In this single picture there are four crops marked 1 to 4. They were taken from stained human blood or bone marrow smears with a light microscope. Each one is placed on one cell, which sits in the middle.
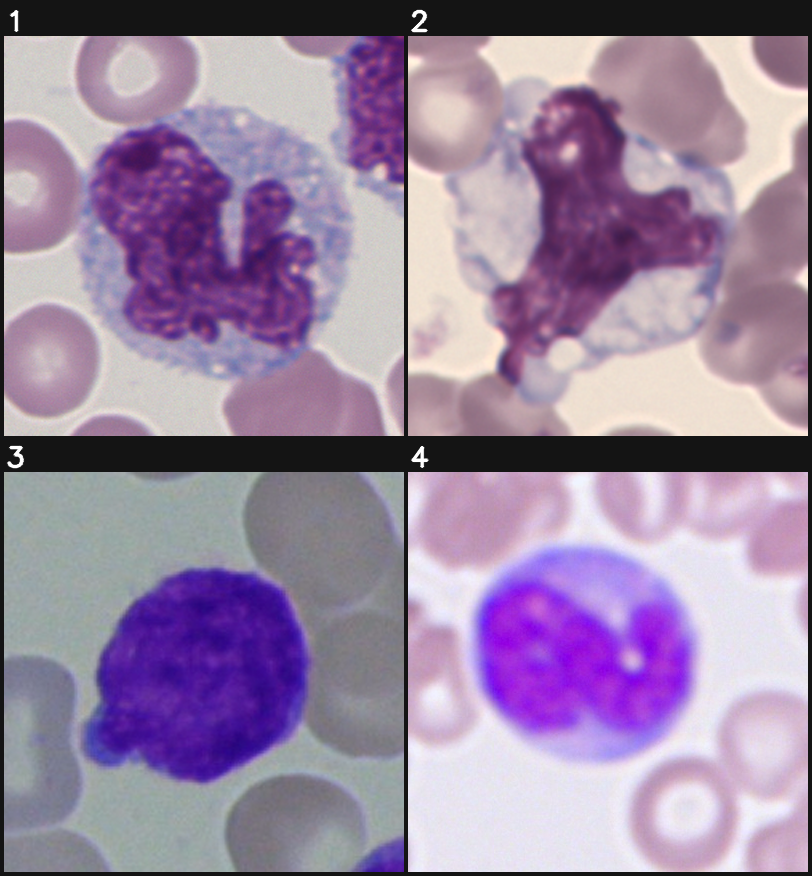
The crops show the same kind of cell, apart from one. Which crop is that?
3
